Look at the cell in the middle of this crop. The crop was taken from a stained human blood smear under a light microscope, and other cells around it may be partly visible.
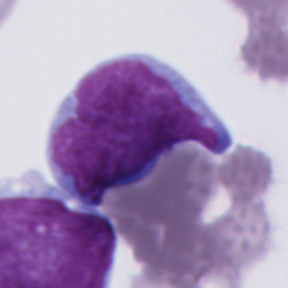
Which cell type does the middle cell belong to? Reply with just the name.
myeloblast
